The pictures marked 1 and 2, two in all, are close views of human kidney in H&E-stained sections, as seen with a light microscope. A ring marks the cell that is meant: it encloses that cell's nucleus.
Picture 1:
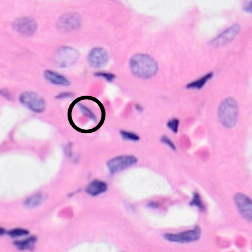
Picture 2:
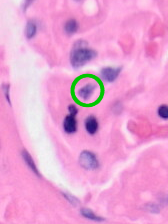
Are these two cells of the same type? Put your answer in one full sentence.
Yes, both cells are endothelial cells.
